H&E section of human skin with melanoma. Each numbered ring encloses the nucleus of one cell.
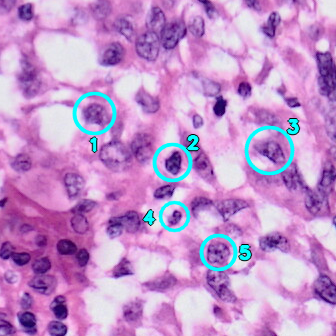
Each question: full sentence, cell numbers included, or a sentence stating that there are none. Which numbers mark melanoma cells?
The cells numbered 1, 3 and 5 fall into the category of melanoma cells.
